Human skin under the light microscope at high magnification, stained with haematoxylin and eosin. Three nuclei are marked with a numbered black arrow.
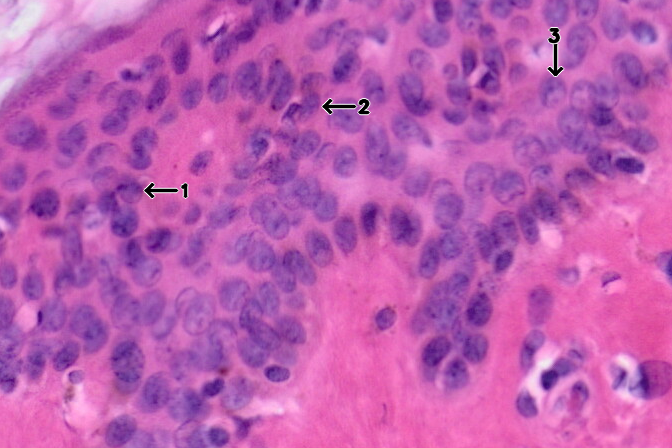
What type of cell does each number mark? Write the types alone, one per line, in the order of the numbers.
basal keratinocyte
basal keratinocyte
suprabasal keratinocyte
